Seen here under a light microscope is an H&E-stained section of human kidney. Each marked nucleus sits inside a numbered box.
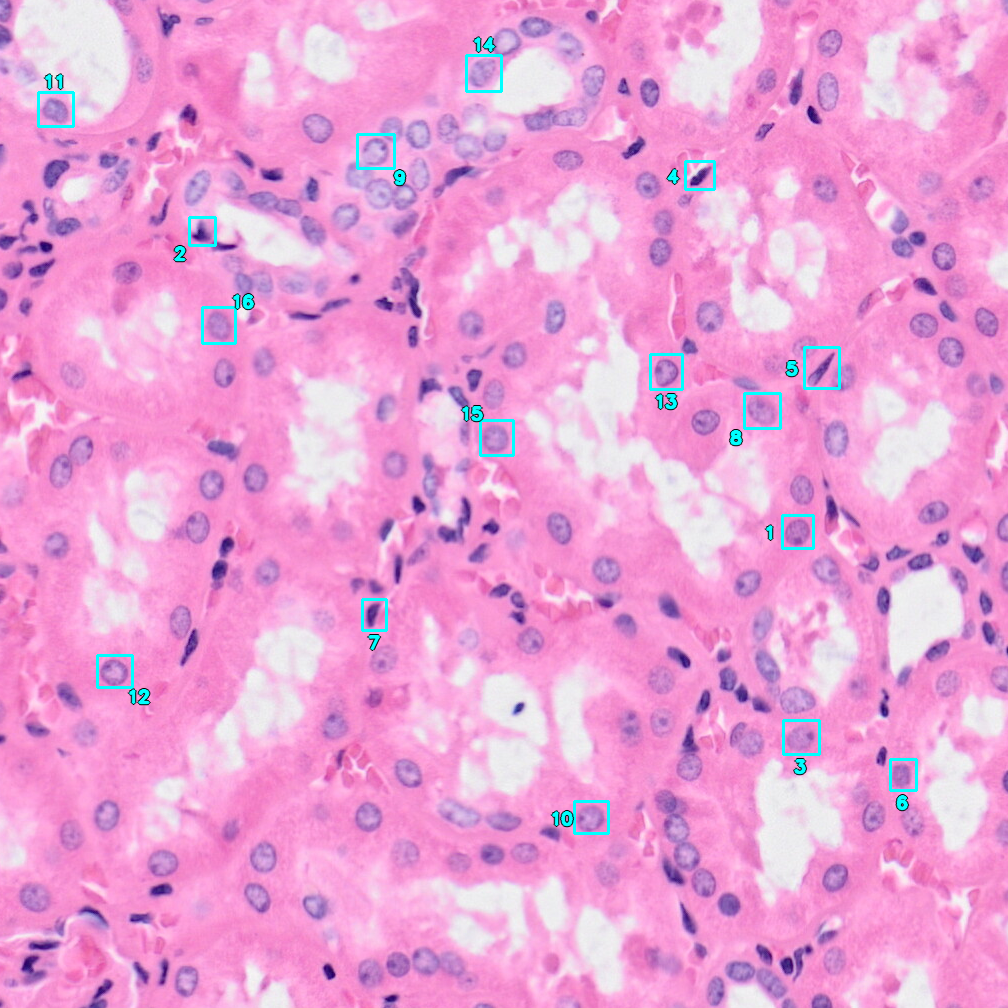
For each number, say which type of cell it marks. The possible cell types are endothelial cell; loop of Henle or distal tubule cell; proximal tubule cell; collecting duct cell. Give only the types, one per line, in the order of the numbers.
proximal tubule cell
collecting duct cell
proximal tubule cell
endothelial cell
endothelial cell
proximal tubule cell
endothelial cell
proximal tubule cell
collecting duct cell
proximal tubule cell
loop of Henle or distal tubule cell
proximal tubule cell
proximal tubule cell
collecting duct cell
proximal tubule cell
proximal tubule cell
